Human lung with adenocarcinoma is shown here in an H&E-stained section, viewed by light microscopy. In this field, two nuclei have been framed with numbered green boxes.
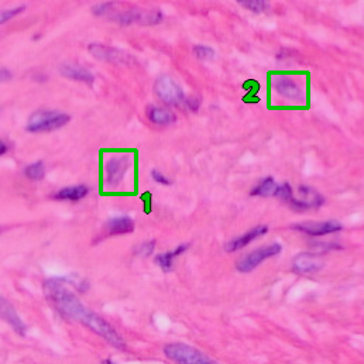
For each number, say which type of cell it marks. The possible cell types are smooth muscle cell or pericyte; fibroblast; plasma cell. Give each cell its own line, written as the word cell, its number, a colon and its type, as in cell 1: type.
cell 1: fibroblast
cell 2: smooth muscle cell or pericyte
